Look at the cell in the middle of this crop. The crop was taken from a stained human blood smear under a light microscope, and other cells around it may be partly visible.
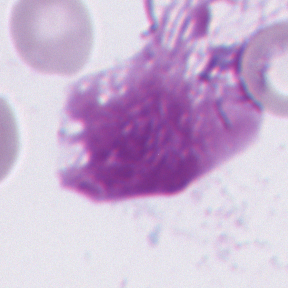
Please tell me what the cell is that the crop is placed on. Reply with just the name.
smudge cell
